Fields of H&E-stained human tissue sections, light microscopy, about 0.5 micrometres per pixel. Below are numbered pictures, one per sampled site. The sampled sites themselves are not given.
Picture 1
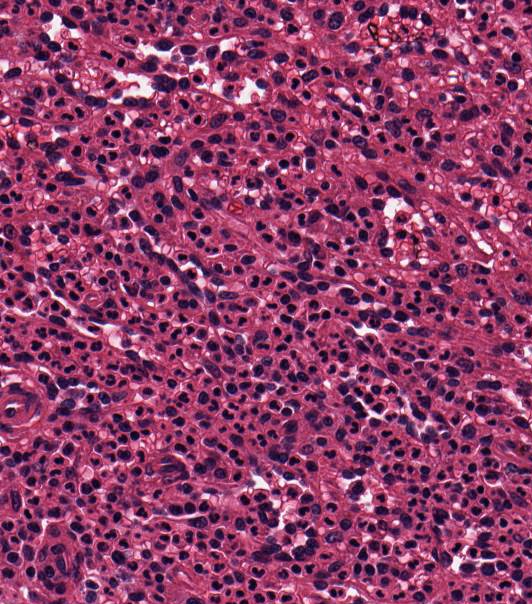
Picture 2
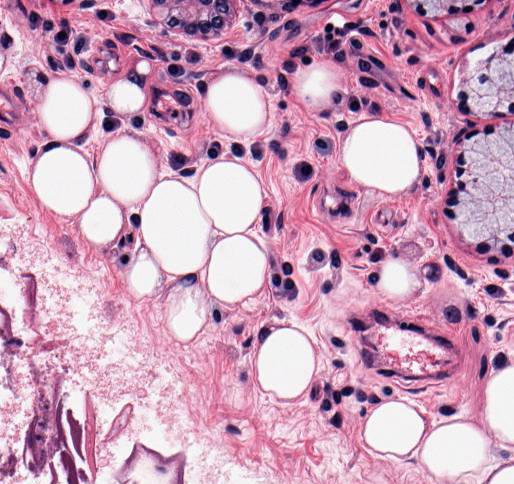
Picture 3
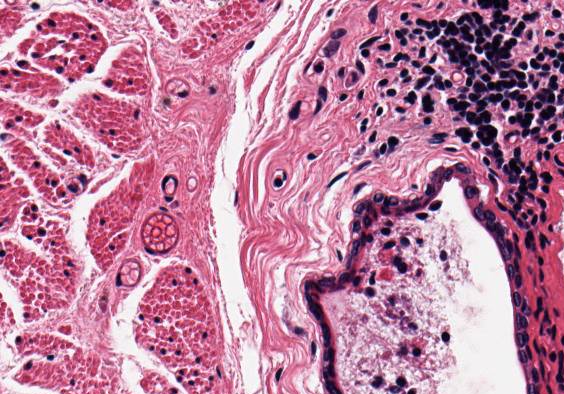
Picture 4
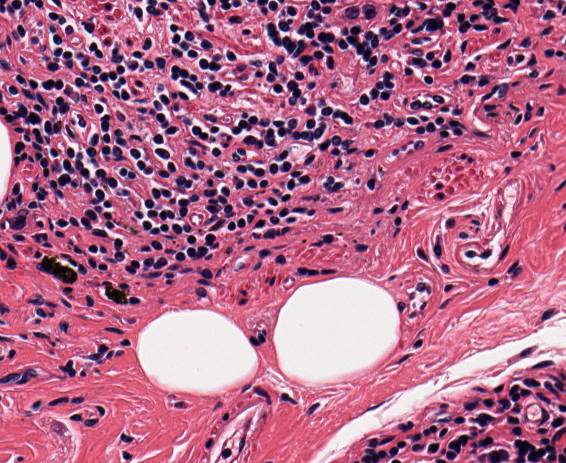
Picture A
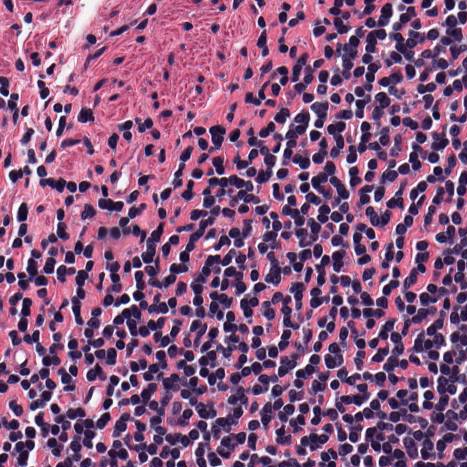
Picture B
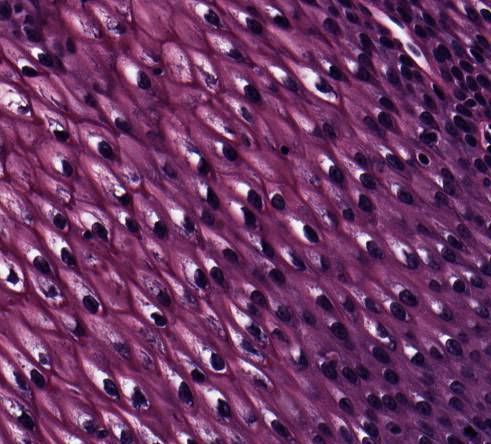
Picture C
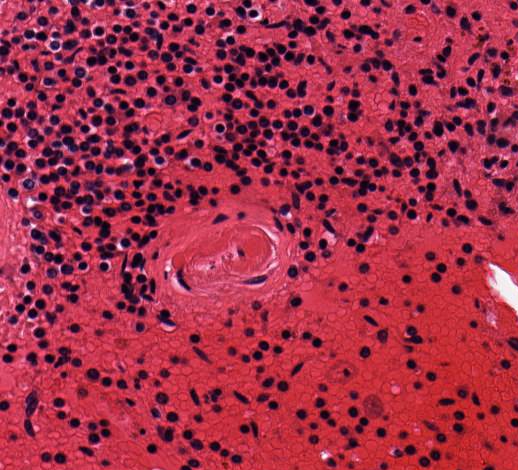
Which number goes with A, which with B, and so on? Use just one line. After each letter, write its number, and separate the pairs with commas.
A 4, B 3, C 1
